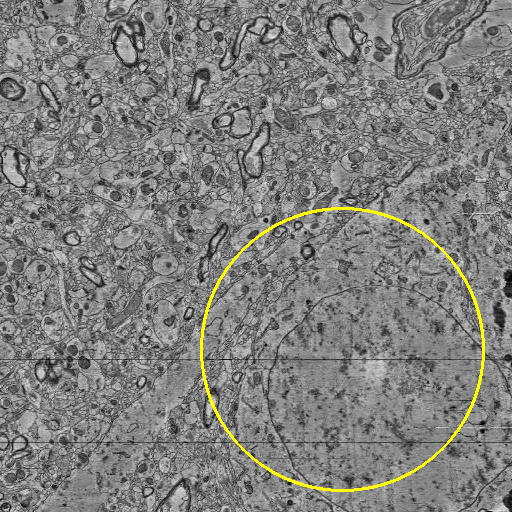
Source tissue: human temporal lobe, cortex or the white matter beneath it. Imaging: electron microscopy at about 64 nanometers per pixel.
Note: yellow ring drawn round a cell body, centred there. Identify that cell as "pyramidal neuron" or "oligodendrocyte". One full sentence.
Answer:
The cell in the middle of the ring is a pyramidal neuron.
